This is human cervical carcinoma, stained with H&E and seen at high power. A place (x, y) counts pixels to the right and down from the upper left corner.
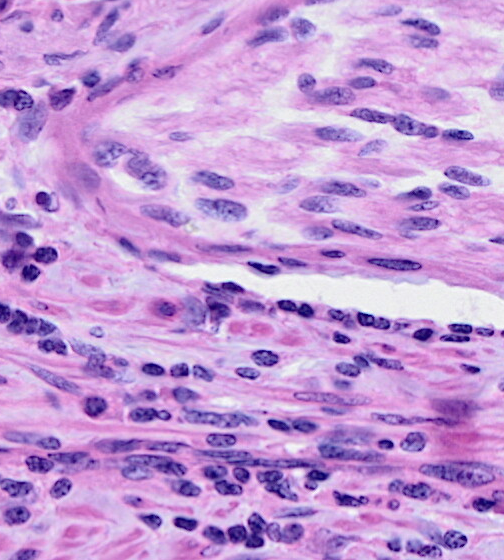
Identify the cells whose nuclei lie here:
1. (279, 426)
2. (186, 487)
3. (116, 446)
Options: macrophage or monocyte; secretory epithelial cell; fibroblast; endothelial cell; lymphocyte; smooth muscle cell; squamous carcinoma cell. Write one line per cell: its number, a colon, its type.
1: lymphocyte
2: lymphocyte
3: endothelial cell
